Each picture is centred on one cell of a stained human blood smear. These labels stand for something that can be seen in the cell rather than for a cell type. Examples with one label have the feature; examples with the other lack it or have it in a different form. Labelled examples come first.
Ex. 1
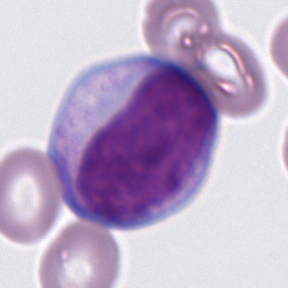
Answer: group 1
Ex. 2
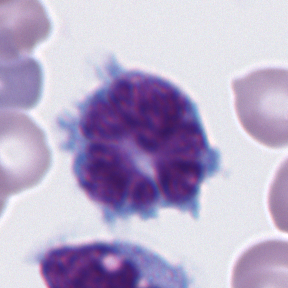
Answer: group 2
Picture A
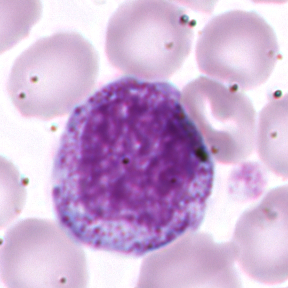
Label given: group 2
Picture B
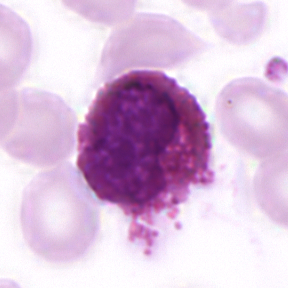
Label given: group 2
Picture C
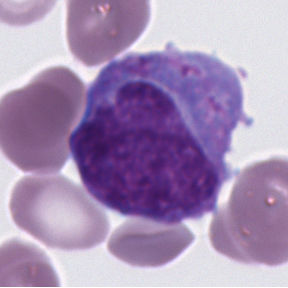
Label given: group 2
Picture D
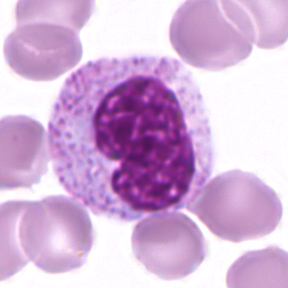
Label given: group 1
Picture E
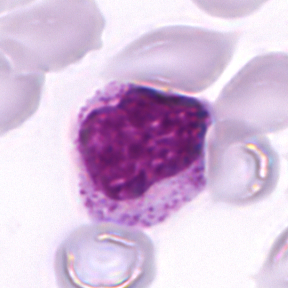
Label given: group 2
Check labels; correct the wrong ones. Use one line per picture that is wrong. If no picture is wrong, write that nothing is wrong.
C should be group 1, not group 2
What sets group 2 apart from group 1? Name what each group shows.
group 2: scant cytoplasm; group 1: abundant cytoplasm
